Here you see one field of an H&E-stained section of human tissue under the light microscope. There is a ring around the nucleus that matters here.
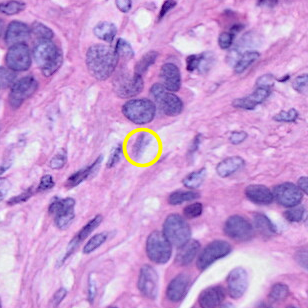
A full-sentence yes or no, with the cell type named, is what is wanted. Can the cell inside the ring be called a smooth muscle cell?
No, for the cell inside the ring the correct label is a fibroblast and not a smooth muscle cell.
